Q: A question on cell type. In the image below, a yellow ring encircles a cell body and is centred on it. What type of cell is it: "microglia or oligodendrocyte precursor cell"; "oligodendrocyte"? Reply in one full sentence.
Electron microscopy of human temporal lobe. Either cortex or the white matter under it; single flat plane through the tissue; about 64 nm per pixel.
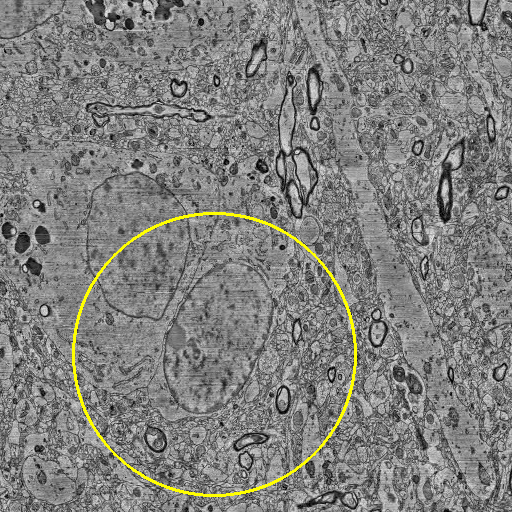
It is a microglial cell or oligodendrocyte precursor cell whose cell body sits at the centre of the yellow ring in the image.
